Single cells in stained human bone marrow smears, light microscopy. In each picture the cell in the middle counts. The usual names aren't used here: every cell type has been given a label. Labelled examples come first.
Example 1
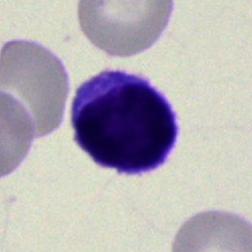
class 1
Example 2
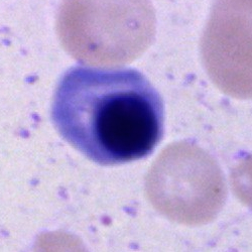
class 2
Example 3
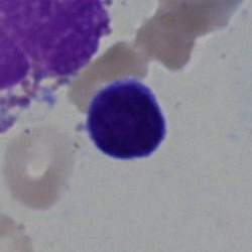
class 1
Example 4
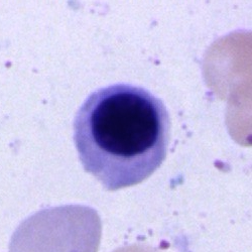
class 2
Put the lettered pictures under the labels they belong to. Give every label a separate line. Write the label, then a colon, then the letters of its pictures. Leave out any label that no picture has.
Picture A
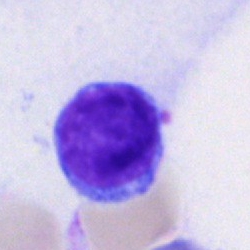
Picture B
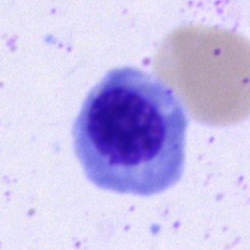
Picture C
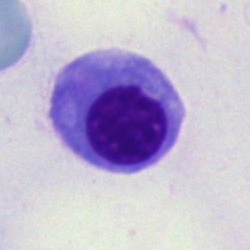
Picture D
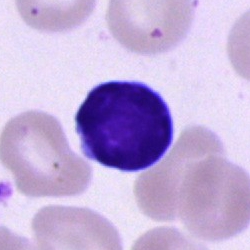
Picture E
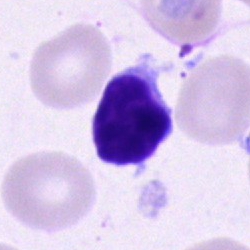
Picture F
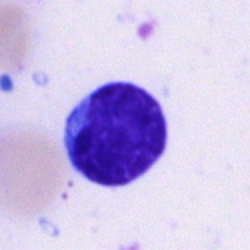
class 1: A, D, E, F
class 2: B, C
